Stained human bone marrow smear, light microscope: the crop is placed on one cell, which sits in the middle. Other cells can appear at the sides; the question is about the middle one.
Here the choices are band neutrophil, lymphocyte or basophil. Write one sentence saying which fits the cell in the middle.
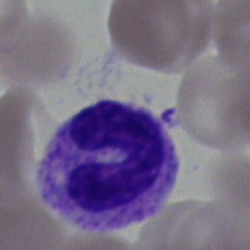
Seen at the centre of the crop is a band neutrophil.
